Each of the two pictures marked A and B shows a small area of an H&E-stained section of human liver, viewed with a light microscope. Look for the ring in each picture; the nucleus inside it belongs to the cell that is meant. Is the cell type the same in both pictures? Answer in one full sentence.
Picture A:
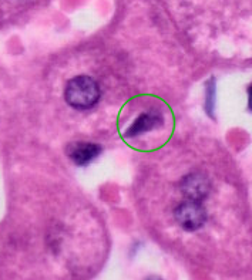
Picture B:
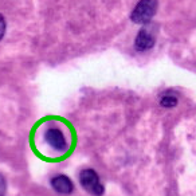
No, they differ: the cell is a “fibroblast or stellate cell” in picture A and a lymphocyte in picture B.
